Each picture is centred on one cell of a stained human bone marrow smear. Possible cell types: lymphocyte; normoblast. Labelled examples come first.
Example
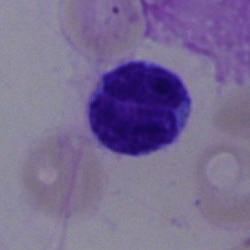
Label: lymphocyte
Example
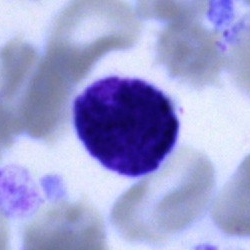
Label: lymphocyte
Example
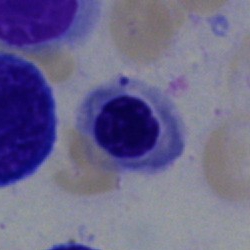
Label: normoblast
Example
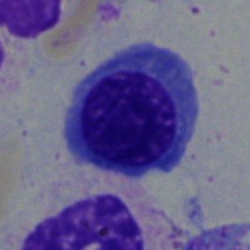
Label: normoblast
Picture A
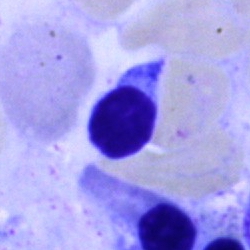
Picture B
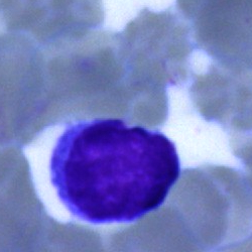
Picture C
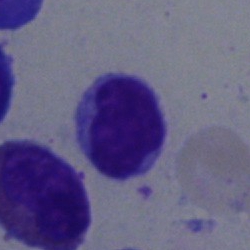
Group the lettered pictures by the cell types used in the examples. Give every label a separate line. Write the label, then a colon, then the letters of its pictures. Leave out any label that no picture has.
lymphocyte: A, B, C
